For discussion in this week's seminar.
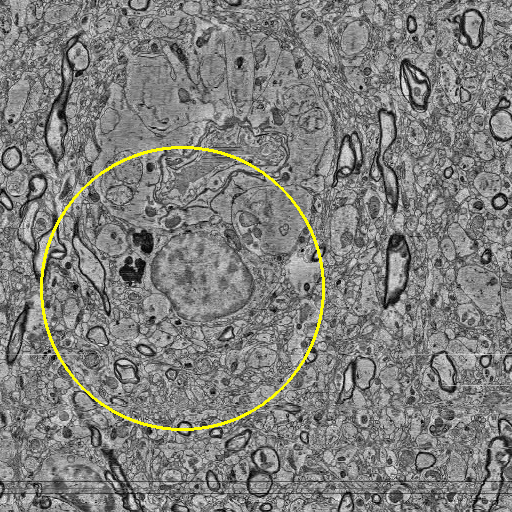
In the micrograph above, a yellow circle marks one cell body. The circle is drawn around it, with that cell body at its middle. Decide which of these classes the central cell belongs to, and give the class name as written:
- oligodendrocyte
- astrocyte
oligodendrocyte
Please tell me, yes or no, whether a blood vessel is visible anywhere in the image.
Yes, the picture includes a blood vessel.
